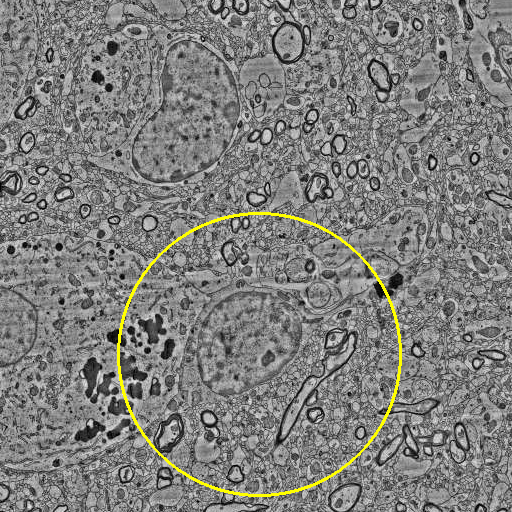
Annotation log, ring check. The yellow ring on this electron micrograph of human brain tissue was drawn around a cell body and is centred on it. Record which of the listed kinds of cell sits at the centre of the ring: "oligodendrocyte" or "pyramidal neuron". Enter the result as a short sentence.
The cell at the centre of the ring is an oligodendrocyte.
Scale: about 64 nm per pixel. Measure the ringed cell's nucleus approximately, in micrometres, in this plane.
The nucleus appears roughly 8 by 6 micrometres in this plane.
